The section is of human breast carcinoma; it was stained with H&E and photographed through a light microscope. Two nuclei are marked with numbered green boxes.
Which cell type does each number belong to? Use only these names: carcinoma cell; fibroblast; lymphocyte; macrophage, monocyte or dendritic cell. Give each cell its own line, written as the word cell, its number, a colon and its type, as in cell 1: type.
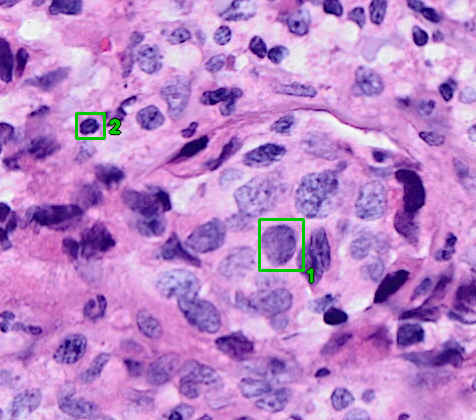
cell 1: carcinoma cell
cell 2: lymphocyte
